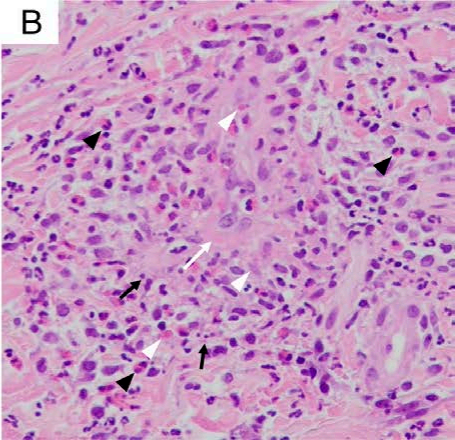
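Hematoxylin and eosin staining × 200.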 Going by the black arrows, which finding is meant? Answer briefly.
nuclear dust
